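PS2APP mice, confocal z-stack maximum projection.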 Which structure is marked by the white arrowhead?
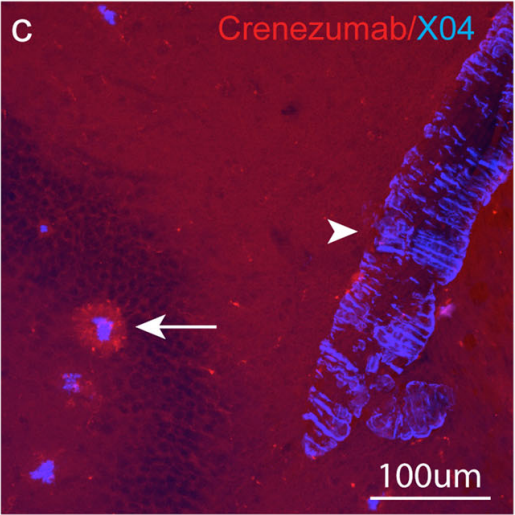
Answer: Vascular amyloid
